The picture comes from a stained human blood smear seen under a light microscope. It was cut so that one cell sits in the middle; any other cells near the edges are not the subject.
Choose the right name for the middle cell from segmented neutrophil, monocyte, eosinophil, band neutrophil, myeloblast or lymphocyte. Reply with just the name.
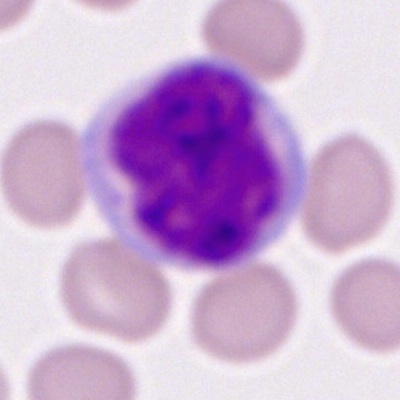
monocyte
